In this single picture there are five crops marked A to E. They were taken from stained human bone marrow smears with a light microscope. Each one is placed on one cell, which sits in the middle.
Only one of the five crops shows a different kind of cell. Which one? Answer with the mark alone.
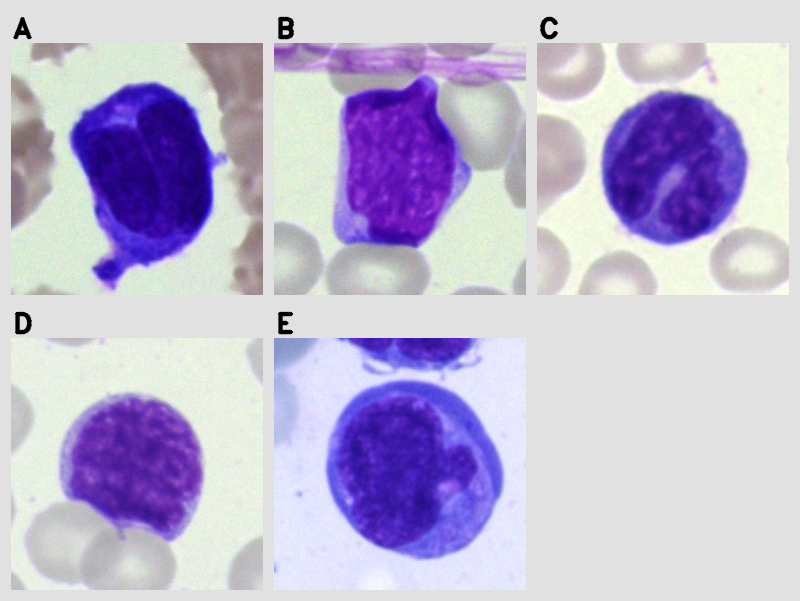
C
